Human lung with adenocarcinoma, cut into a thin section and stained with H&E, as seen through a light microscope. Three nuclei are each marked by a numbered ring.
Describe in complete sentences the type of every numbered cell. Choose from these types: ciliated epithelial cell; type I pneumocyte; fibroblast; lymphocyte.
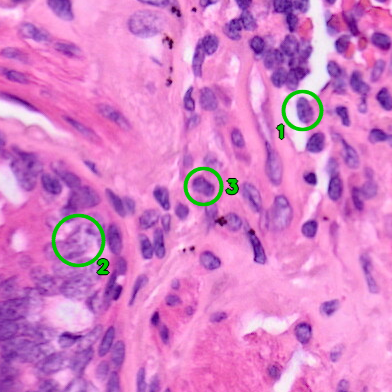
Cells 1 and 3 are lymphocytes. Cell 2 is a ciliated epithelial cell.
